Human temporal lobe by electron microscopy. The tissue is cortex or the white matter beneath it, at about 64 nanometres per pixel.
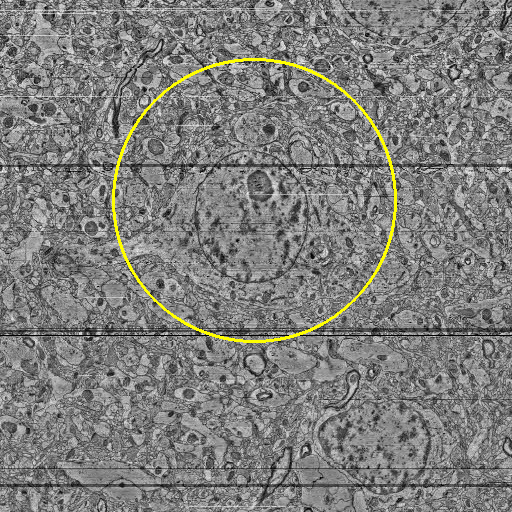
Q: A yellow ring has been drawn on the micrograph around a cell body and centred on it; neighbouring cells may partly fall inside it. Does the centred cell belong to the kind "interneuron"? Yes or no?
No, it belongs to another kind.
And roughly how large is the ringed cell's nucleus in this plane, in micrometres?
In this plane, about 9 micrometres in length and 7 in width.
